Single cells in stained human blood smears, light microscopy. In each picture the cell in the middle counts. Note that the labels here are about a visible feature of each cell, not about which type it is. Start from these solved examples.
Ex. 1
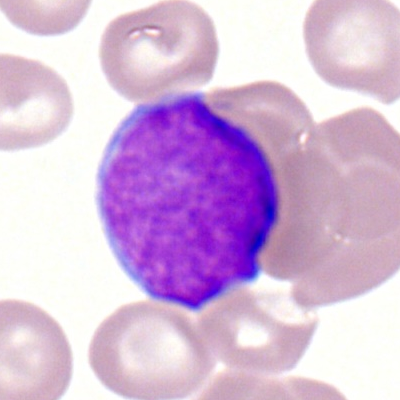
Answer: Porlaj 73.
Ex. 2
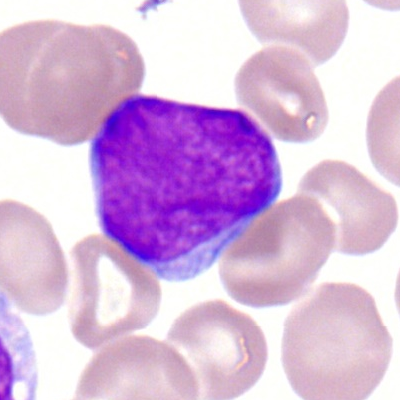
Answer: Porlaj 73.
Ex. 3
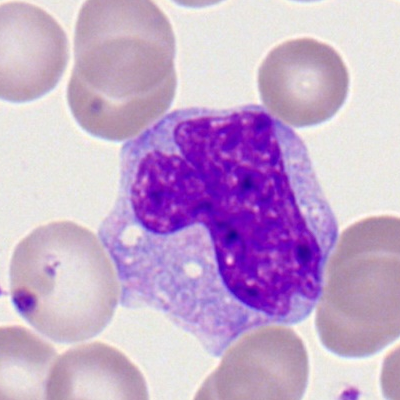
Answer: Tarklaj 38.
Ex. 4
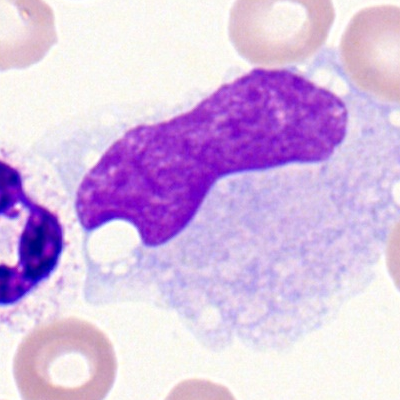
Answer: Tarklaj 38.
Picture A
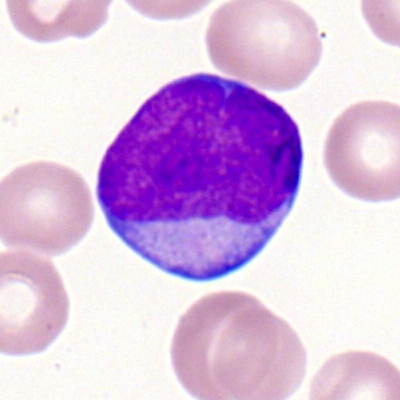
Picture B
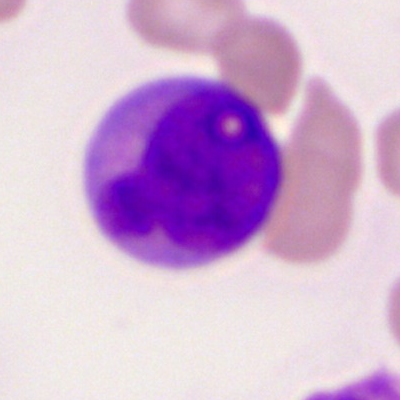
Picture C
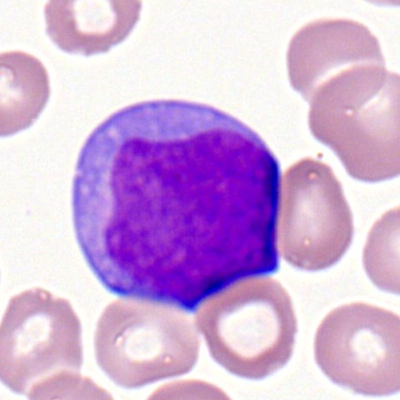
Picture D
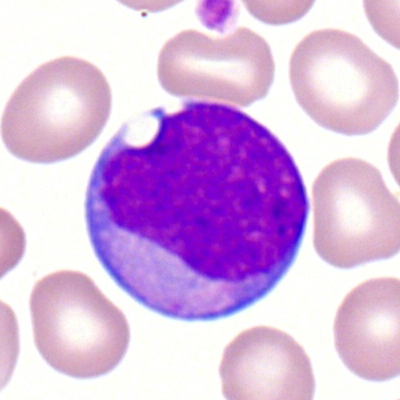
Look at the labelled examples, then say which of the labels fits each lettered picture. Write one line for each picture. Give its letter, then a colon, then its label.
A: Porlaj 73.
B: Tarklaj 38.
C: Porlaj 73.
D: Tarklaj 38.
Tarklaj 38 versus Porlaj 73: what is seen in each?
Tarklaj 38: vacuoles present; Porlaj 73: no vacuoles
